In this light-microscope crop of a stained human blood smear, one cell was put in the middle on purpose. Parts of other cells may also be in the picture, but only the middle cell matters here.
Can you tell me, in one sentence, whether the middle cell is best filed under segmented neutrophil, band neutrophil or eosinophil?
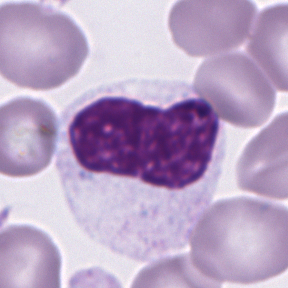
The centrally positioned cell in the crop represents a segmented neutrophil.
